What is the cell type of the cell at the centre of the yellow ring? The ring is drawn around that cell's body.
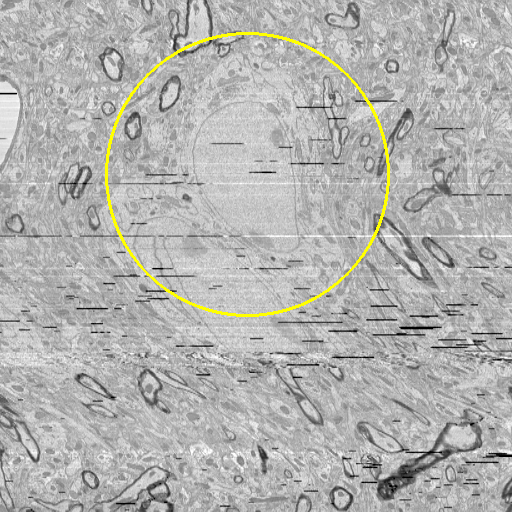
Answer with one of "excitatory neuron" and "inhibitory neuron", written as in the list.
excitatory neuron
